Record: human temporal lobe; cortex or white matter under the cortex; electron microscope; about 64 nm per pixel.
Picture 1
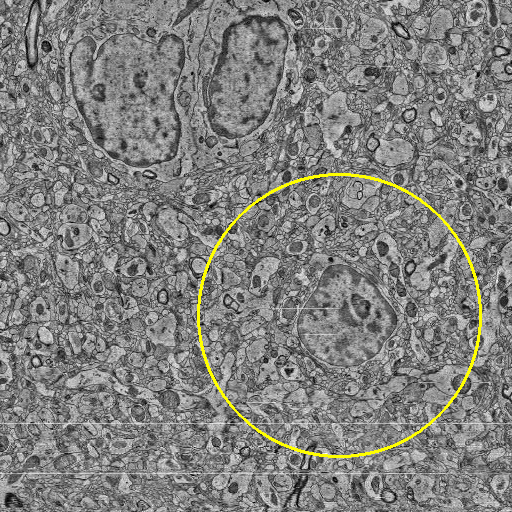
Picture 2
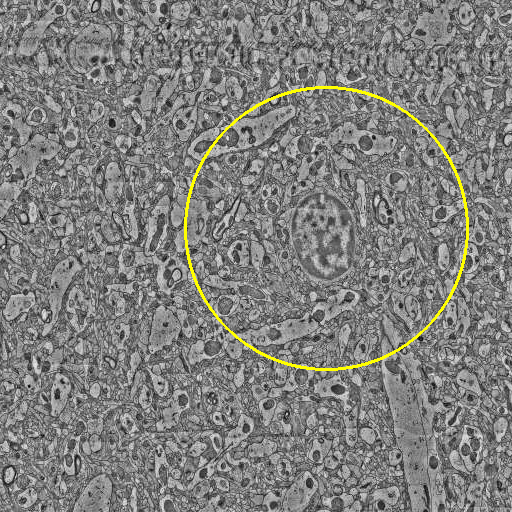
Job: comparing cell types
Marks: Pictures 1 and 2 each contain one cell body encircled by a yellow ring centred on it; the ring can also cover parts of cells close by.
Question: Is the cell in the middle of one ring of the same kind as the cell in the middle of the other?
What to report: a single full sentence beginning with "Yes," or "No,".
No, the cell at the ring centre in Picture 1 and its partner in Picture 2 are of two kinds.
